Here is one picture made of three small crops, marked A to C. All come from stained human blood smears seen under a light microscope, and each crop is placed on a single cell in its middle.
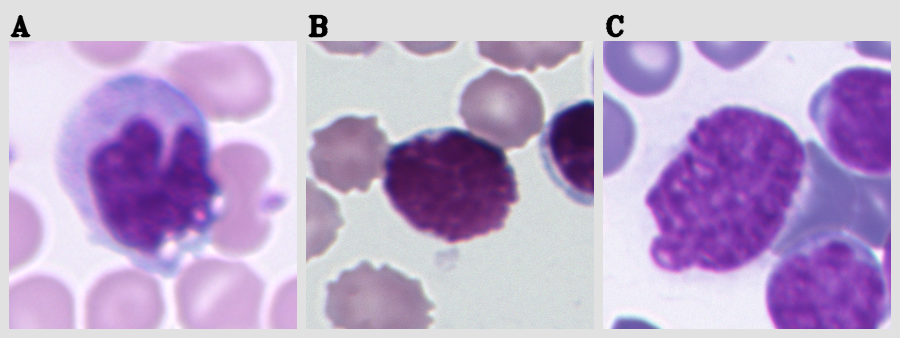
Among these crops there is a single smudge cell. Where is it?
B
